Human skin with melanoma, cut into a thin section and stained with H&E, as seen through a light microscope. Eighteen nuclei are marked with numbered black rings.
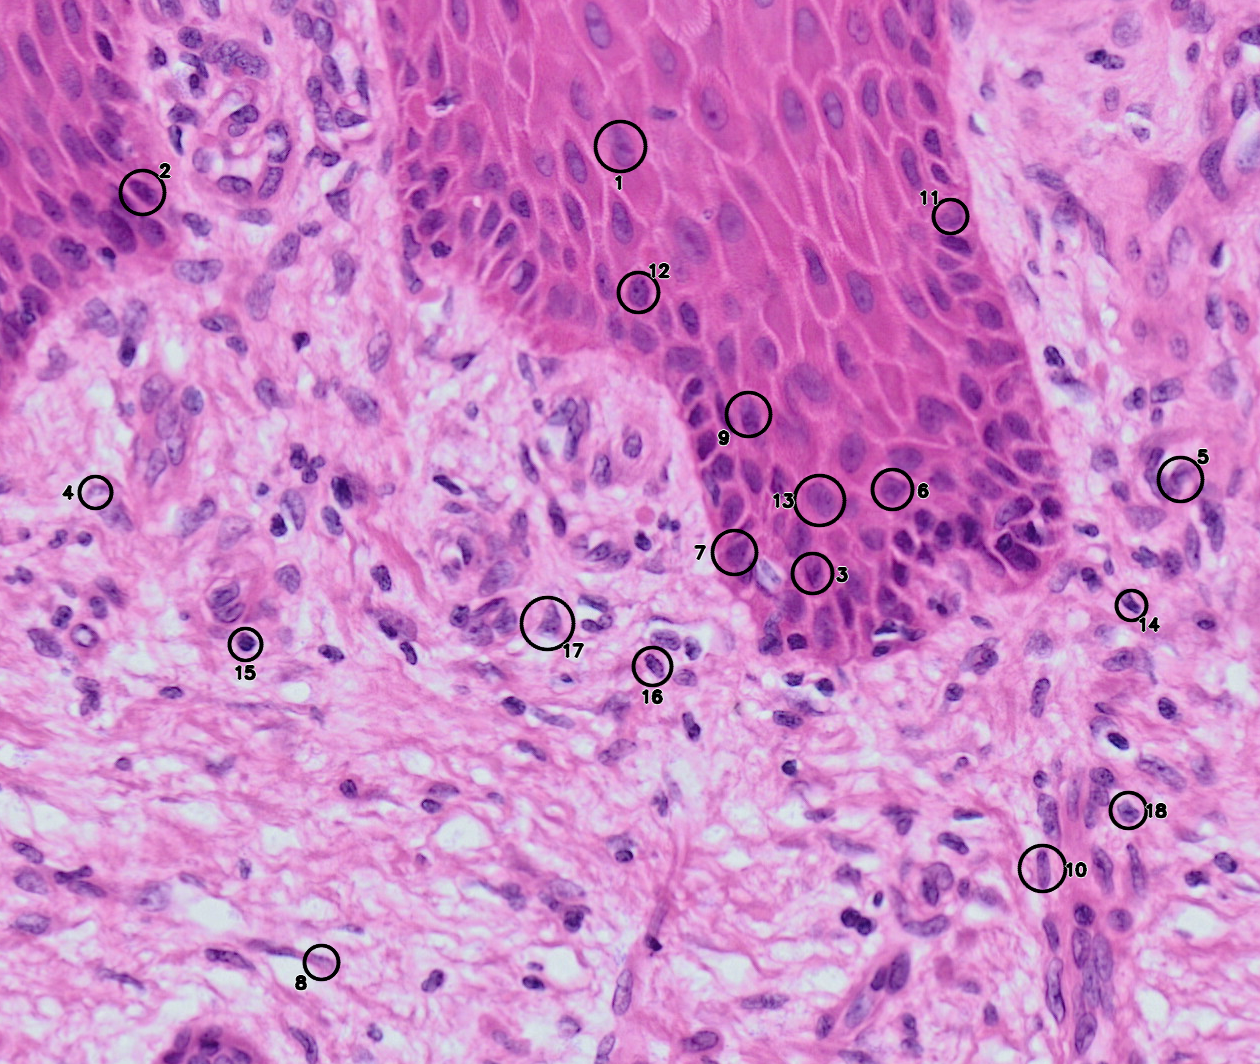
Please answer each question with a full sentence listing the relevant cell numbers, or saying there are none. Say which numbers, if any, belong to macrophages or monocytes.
Cell 10 represents a macrophage or monocyte, and no other numbered cell does.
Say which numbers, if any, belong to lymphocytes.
The numbers 14, 15, 16 and 18 mark cells that are lymphocytes.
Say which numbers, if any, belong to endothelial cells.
With the exception of cell 5, no marked cell is an endothelial cell.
